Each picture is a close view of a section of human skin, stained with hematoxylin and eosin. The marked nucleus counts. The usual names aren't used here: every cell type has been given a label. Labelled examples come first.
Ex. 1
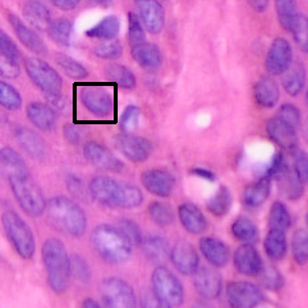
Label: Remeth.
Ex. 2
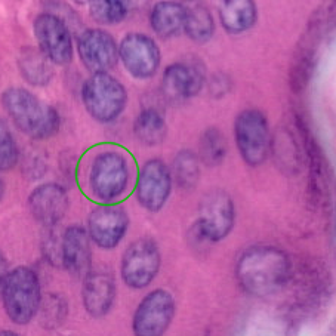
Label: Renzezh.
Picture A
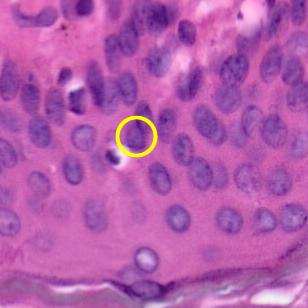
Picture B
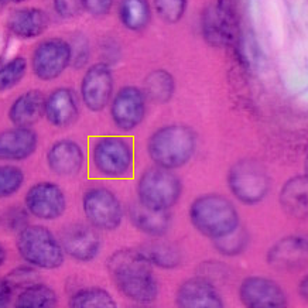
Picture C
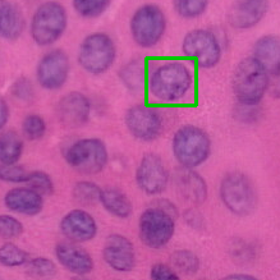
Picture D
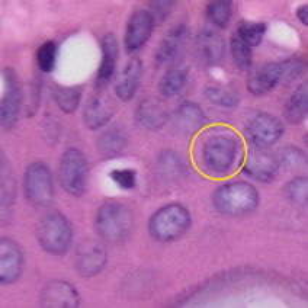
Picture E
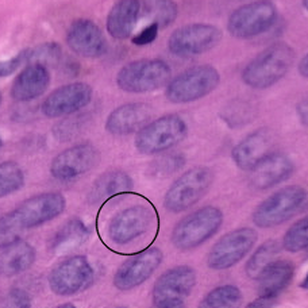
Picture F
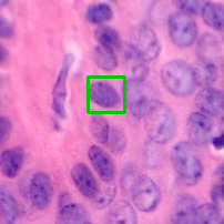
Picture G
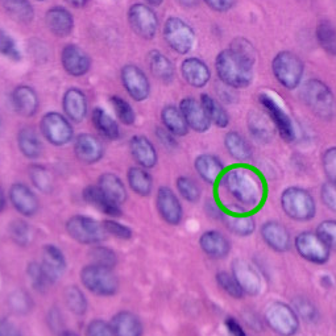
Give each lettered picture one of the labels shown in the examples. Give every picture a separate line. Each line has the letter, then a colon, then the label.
A: Remeth.
B: Renzezh.
C: Renzezh.
D: Renzezh.
E: Renzezh.
F: Remeth.
G: Renzezh.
